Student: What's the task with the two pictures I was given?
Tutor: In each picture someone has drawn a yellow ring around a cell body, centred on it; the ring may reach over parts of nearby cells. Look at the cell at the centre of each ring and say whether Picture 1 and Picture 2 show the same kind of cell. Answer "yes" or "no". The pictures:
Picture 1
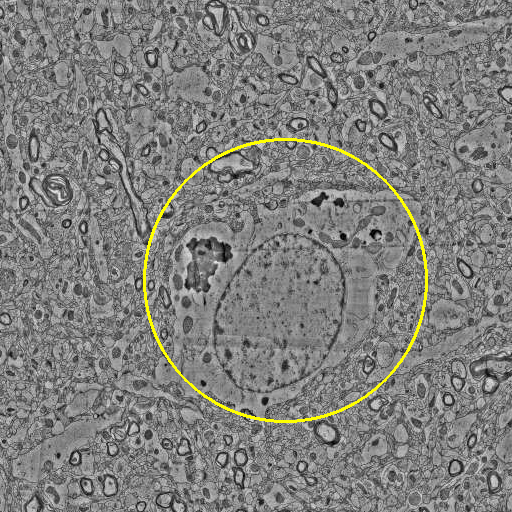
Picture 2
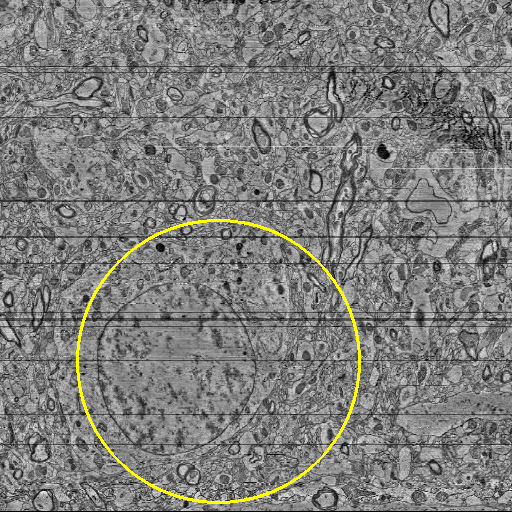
no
